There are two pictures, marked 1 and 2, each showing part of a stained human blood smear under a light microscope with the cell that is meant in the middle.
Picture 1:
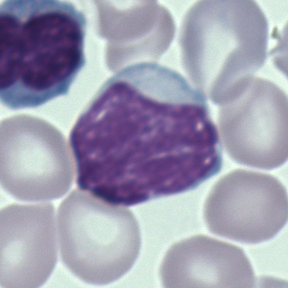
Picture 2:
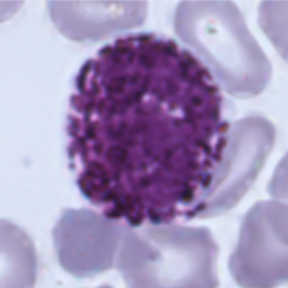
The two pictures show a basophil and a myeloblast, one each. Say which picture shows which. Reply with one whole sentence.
Picture 2 shows a basophil, while picture 1 shows a myeloblast.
